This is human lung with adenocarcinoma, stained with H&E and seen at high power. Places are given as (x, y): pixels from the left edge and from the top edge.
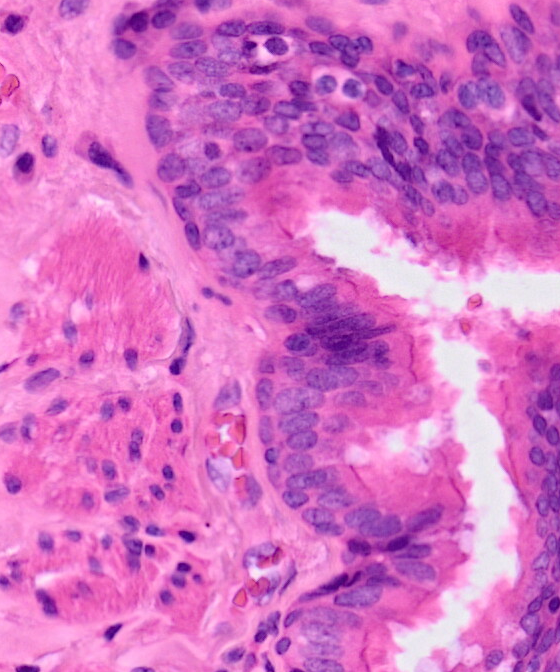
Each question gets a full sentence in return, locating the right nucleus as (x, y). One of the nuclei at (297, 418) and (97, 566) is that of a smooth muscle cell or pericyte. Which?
The one belonging to a smooth muscle cell or pericyte is the nucleus at (97, 566), not the other.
